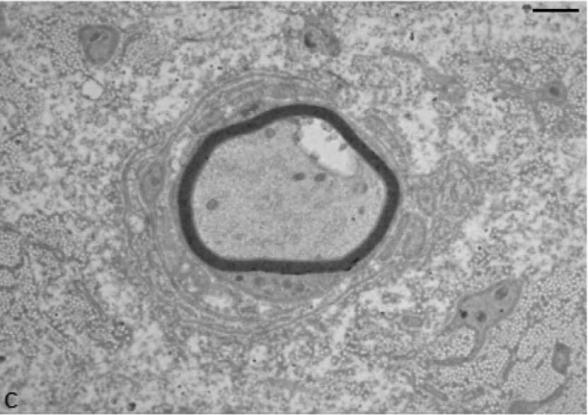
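This electron micrograph of a peripheral nerve shows a single myelinated axon encircled by a small onion bulb. The axon is cut in cross-section and is bounded by a dark, compact, uniform ring of myelin. Around the myelin, thin flattened cell processes are wrapped in several concentric layers, separated by narrow spaces. The surrounding endoneurium is filled with tiny round profiles of collagen fibrils cut in cross-section, with scattered cell processes among them.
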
